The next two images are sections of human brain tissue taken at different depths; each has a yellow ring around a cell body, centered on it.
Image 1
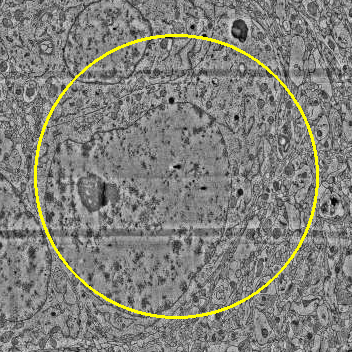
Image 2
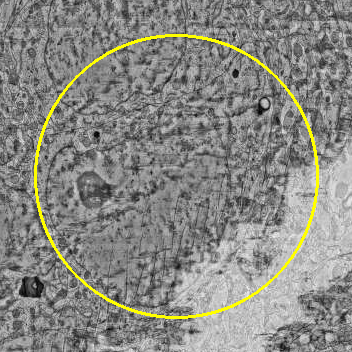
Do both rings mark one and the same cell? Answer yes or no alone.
yes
